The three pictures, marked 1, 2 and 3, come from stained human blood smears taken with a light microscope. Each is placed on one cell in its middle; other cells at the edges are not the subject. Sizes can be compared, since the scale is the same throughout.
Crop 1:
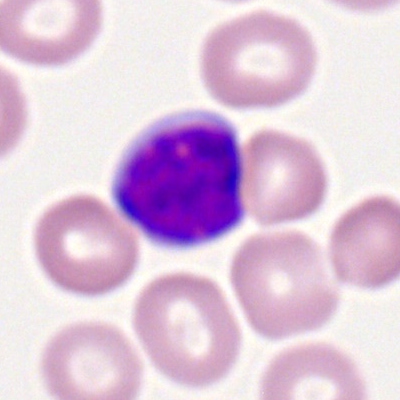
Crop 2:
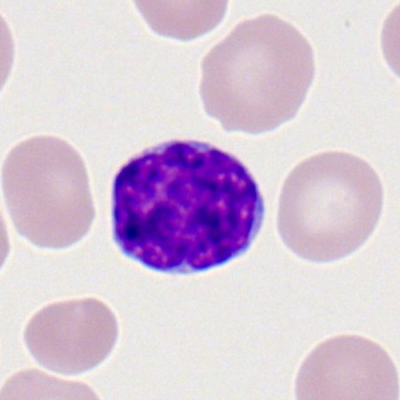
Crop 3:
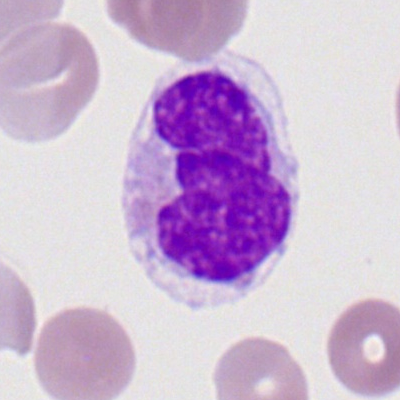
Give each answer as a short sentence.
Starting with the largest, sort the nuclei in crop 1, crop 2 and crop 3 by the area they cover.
Going down, they run 3, 2, 1.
